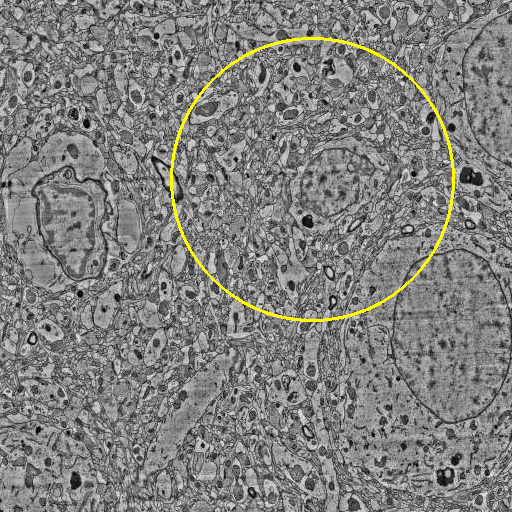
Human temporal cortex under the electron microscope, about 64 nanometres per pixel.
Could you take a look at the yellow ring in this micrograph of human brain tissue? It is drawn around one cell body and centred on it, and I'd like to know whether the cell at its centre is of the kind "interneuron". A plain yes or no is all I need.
yes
